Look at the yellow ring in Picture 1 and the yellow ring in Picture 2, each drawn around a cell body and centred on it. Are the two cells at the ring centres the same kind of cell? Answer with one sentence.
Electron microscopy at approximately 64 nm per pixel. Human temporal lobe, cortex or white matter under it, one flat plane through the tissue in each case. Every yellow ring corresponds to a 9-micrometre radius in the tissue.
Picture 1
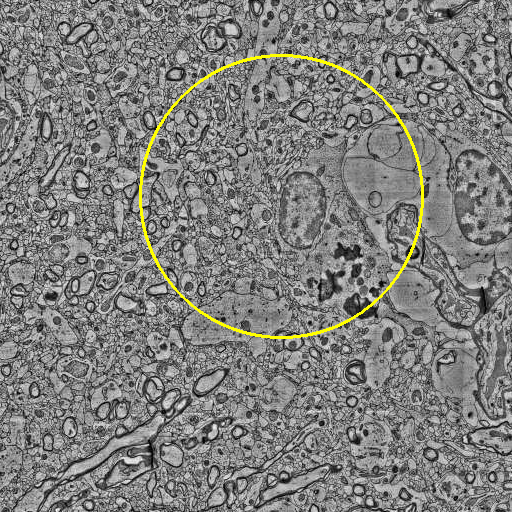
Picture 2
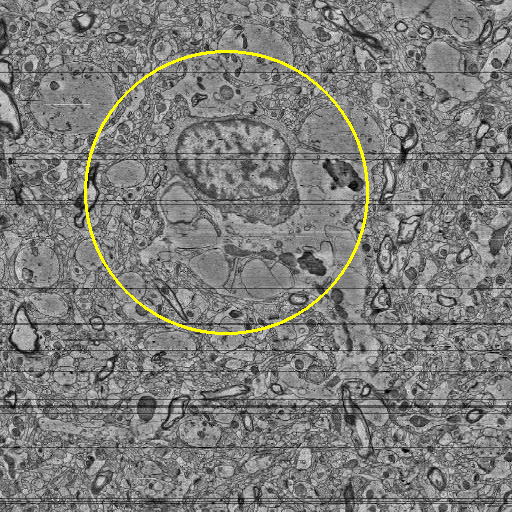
Yes, both are the same kind of cell.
